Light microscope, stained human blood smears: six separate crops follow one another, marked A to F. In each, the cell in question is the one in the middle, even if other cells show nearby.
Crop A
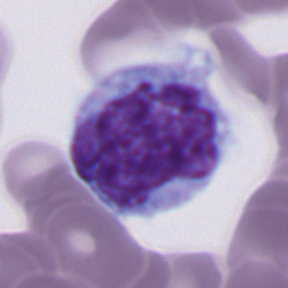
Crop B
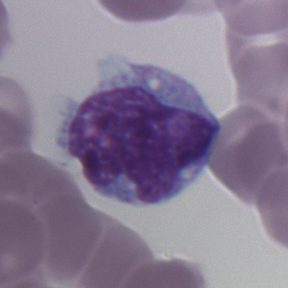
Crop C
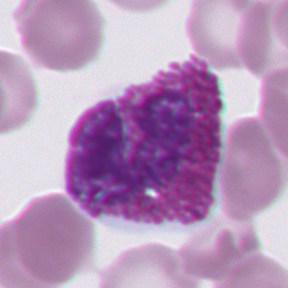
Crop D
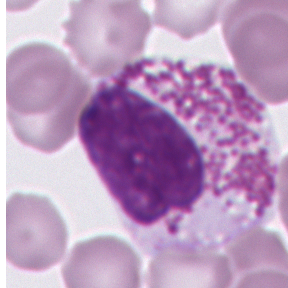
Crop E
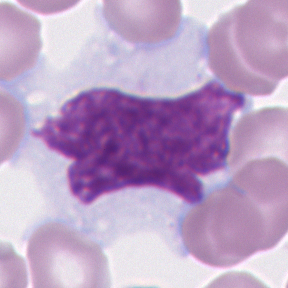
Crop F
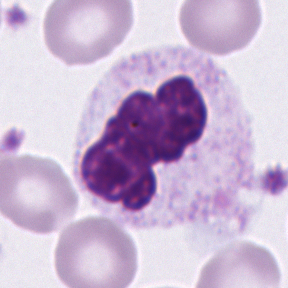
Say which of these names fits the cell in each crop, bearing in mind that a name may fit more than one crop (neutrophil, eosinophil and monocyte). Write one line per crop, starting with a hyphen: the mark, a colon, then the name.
- A: monocyte
- B: monocyte
- C: eosinophil
- D: eosinophil
- E: monocyte
- F: neutrophil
